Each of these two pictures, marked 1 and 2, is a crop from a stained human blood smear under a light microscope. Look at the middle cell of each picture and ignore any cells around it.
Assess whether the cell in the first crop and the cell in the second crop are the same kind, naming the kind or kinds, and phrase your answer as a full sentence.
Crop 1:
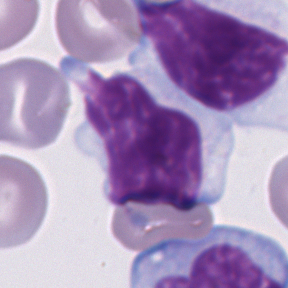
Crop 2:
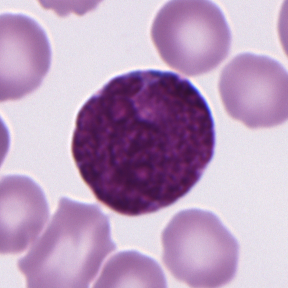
Yes, as an answer for this item, both crops show myeloblasts.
